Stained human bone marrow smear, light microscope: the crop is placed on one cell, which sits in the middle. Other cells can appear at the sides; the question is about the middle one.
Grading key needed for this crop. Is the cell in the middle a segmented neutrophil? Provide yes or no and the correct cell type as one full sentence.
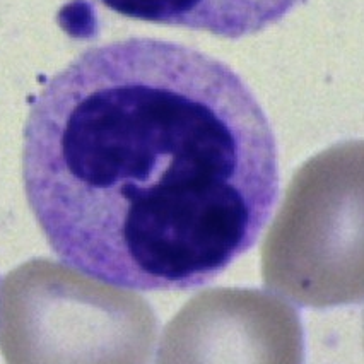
Yes, the identification of the central cell as a segmented neutrophil is correct.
